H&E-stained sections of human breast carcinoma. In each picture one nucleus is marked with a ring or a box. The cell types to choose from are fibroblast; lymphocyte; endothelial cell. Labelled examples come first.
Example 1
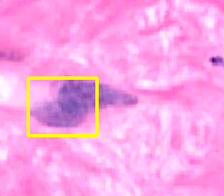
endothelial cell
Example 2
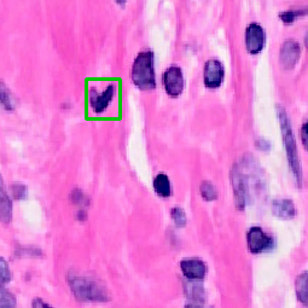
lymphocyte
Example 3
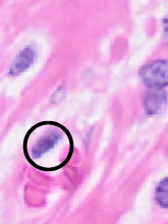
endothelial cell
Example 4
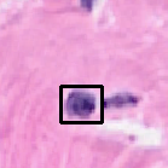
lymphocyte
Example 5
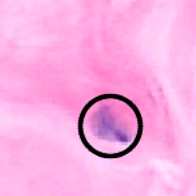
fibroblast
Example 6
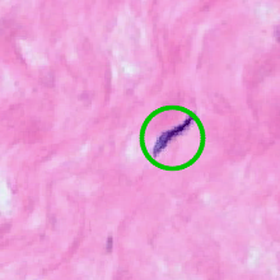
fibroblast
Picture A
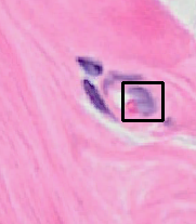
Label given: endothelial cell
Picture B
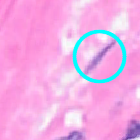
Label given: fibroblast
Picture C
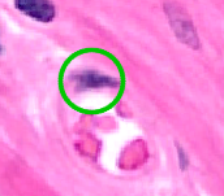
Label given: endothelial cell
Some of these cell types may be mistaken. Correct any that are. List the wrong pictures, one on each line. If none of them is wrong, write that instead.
Every label is right.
